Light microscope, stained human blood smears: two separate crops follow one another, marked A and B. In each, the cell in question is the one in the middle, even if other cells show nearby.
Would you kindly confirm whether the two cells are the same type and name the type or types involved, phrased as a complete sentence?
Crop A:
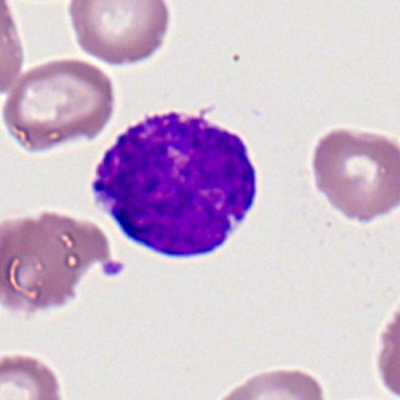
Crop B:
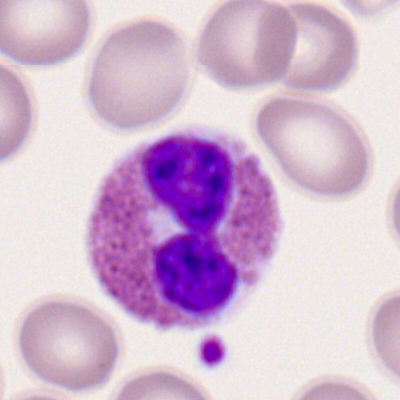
No, crop A captures a basophil, and crop B captures an eosinophil.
